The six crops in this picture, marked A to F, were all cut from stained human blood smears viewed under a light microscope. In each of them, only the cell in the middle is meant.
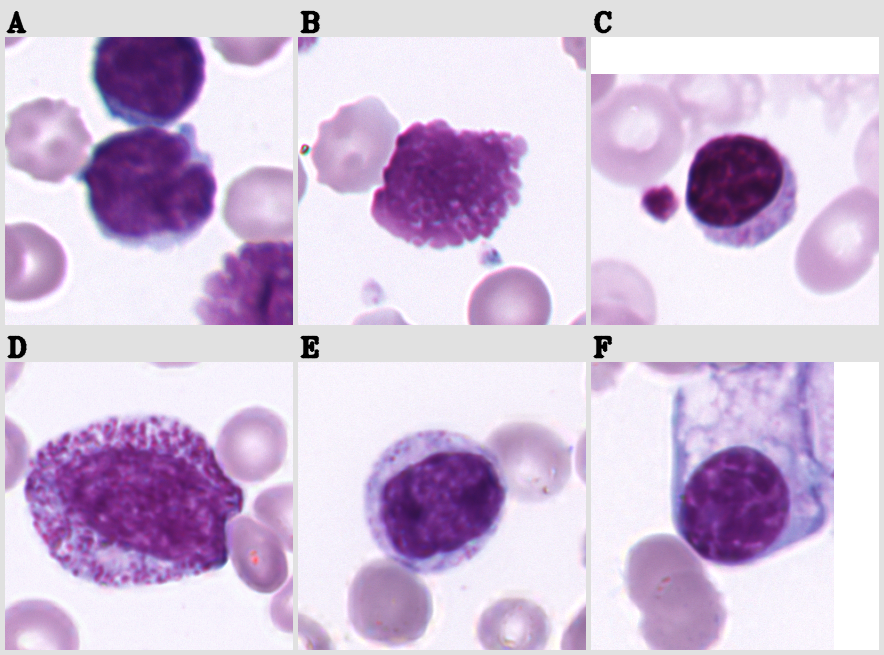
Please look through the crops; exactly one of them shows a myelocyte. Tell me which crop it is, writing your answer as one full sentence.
Among the crops provided, a myelocyte occupies the center of crop D.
